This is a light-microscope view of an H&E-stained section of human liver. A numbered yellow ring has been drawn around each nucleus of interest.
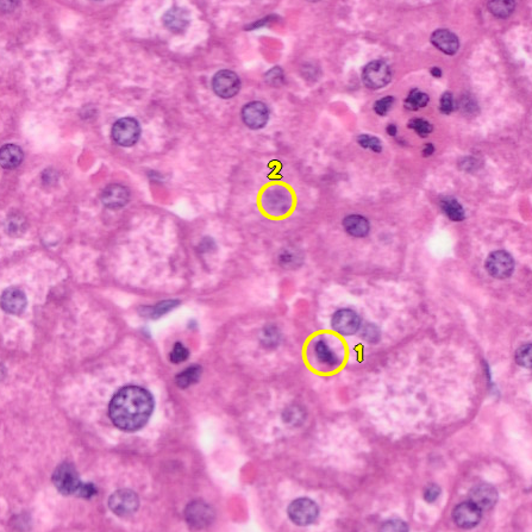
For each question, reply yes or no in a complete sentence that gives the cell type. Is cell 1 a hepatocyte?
No, number 1 is not a hepatocyte; it is a fibroblast or stellate cell.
